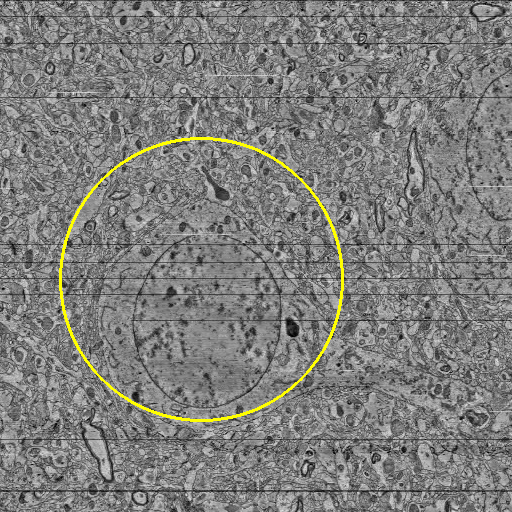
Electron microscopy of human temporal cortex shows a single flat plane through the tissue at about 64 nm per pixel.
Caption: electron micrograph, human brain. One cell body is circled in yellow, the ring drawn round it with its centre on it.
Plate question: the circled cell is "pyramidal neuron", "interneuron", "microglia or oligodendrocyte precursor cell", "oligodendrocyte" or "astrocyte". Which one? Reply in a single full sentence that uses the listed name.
The yellow ring on the plate is centred on a pyramidal neuron, going by the listed names.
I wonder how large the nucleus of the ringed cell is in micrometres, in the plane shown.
The ringed cell's nucleus measures approximately 12 by 10 micrometres in this plane.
